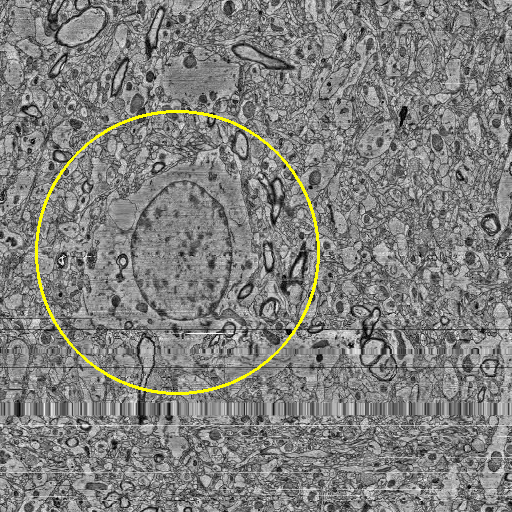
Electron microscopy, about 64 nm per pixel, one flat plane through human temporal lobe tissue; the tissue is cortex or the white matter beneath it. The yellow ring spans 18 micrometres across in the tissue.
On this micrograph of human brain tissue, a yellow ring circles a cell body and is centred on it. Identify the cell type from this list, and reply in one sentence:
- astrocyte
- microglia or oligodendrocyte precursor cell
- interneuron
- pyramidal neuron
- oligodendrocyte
The cell at the centre is an astrocyte.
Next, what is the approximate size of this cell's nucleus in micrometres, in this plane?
Approximately 9 by 6 micrometers in this plane.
